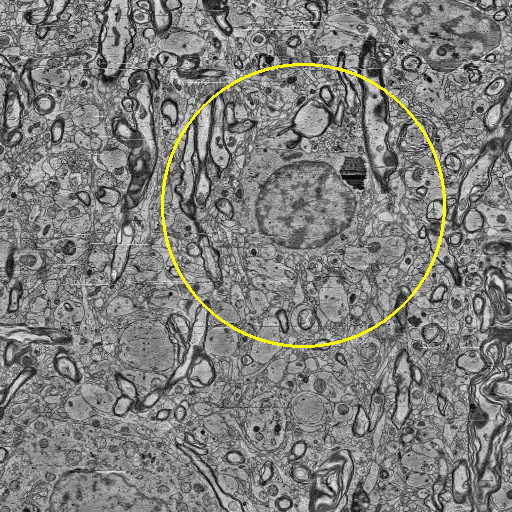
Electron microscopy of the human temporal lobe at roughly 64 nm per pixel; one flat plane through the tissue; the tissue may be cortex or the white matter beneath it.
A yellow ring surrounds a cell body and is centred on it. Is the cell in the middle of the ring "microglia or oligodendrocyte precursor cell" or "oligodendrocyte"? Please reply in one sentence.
The ring is centred on an oligodendrocyte.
